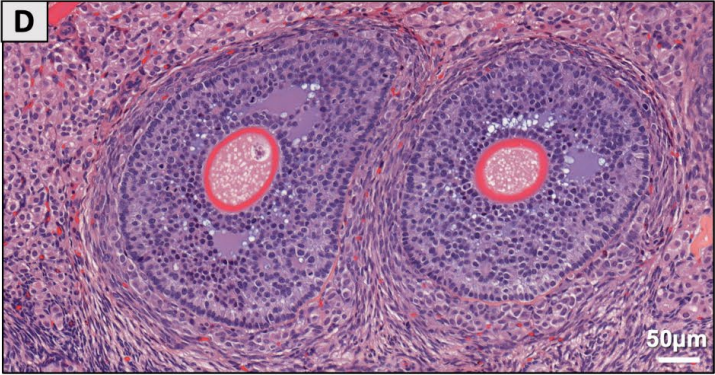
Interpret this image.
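Two ovarian antral follicles lie side by side in the ovarian stroma. Each has an oocyte near its centre, with pale, finely vacuolated pink cytoplasm enclosed by a thick, glassy bright pink zona pellucida. Around the oocyte, many layers of small granulosa cells with round, dark purple nuclei and scant cytoplasm fill the follicle. Irregular pale lilac spaces of follicular fluid open among the granulosa cells, forming the beginnings of an antrum. Outside a thin basement line, concentric layers of elongated spindle-shaped theca cells wrap each follicle, and between the two follicles these layers press together.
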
